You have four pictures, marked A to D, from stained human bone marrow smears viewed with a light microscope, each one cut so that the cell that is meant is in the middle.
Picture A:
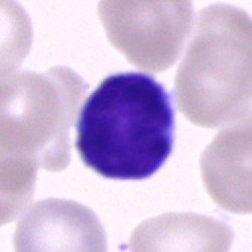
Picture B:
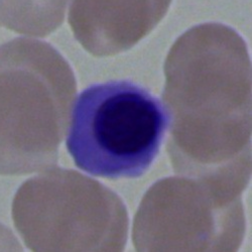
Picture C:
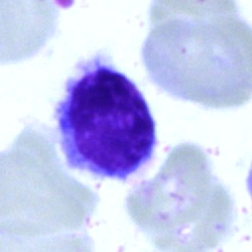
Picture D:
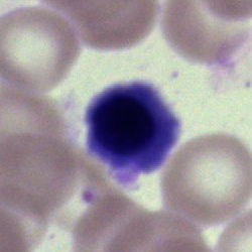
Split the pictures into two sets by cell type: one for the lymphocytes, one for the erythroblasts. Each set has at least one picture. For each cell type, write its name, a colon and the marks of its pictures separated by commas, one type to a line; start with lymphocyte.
lymphocyte: A, C
erythroblast: B, D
